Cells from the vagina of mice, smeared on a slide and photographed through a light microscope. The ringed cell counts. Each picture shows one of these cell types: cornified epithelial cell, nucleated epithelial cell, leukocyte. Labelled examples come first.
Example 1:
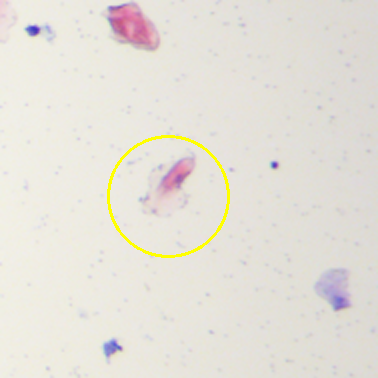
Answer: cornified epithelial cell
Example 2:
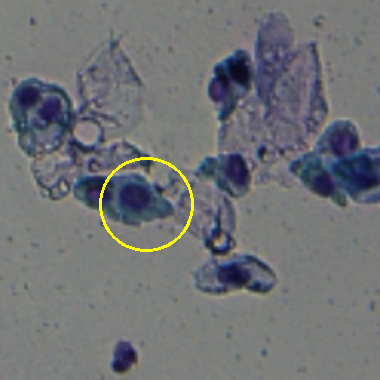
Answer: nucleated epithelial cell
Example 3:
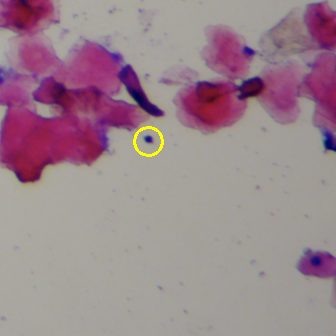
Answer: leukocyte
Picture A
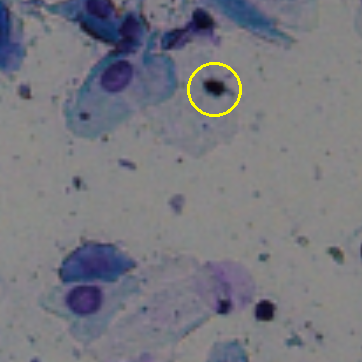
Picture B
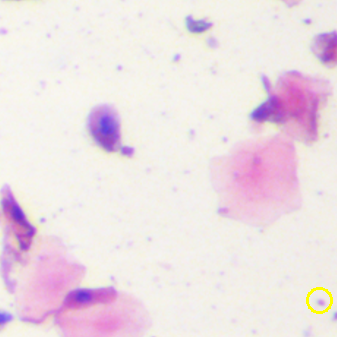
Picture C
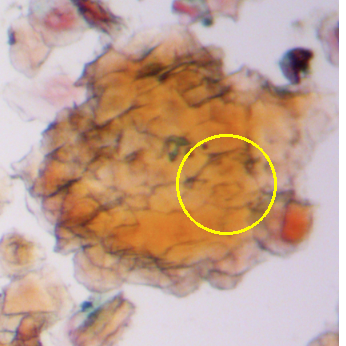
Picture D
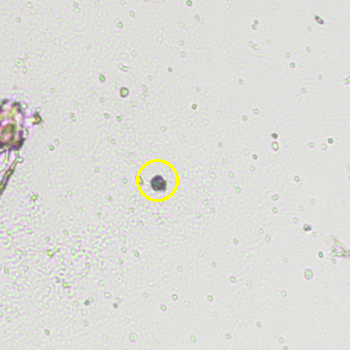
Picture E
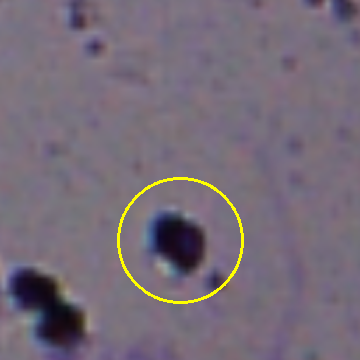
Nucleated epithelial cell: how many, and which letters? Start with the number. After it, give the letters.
0, none of them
